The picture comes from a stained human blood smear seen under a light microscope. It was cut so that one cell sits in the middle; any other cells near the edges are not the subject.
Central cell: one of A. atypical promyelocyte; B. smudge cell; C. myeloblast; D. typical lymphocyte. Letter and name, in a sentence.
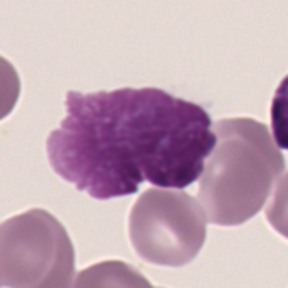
The central cell of the crop is a smudge cell, which makes B the correct option.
